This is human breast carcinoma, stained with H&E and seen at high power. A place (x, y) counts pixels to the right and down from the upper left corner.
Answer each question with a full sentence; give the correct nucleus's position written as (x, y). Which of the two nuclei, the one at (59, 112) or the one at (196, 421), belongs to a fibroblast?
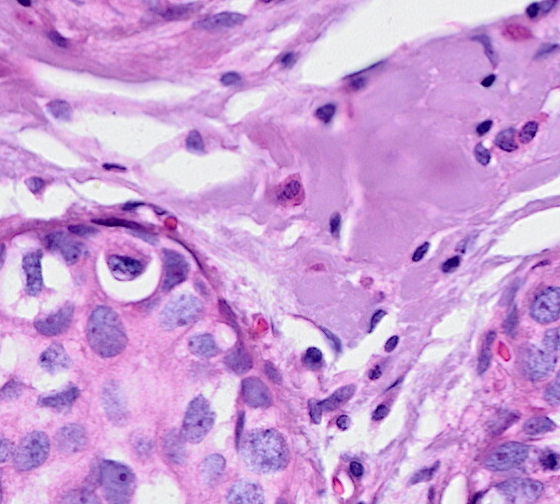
In this pair, the nucleus at (59, 112) belongs to a fibroblast.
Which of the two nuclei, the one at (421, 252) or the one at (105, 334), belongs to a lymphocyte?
The nucleus positioned at (421, 252) is the one that belongs to a lymphocyte.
